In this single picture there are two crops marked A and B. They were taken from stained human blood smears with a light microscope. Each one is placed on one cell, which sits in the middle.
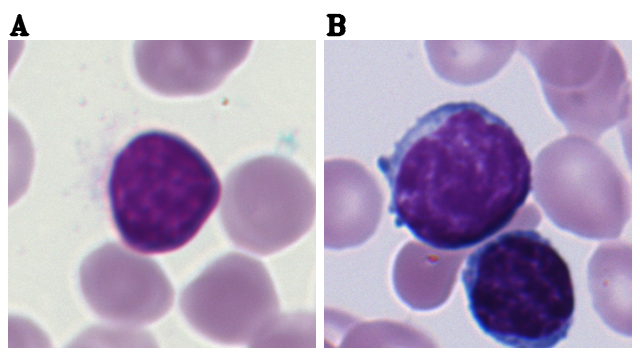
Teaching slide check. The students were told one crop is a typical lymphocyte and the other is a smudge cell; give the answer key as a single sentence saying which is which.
Among the crops, crop A is a smudge cell and crop B is a typical lymphocyte.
